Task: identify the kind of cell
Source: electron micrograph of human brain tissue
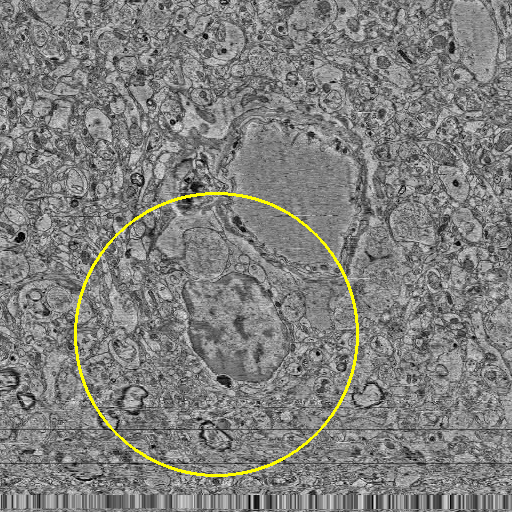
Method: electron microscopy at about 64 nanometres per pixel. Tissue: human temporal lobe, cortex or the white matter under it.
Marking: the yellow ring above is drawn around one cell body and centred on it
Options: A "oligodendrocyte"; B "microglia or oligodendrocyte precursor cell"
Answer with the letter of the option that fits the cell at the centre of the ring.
B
